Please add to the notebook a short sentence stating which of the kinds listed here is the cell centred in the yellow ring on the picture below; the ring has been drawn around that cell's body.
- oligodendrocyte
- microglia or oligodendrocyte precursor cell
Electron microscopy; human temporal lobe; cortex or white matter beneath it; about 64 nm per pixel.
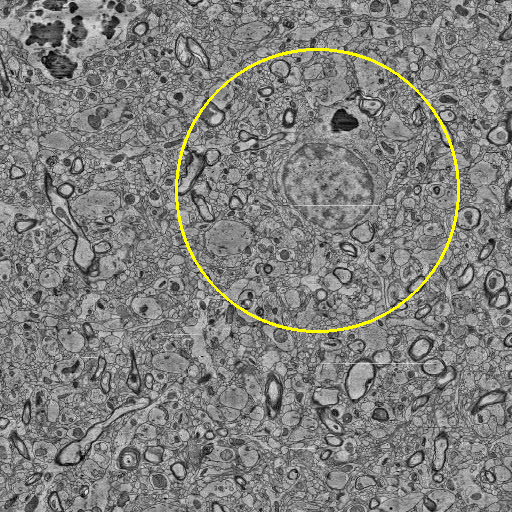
The cell centred in the yellow ring is an oligodendrocyte.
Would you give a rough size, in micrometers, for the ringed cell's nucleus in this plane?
In this plane, the nucleus is roughly 6 by 5 micrometres.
